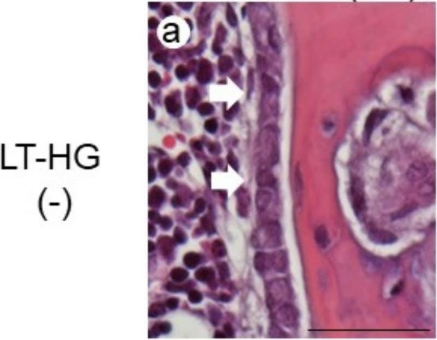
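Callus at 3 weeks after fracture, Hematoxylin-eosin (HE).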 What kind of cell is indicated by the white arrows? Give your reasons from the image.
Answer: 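The arrows point to a single row of cells lying along the surface of pink bone matrix. The cells have dark purple nuclei and sit closely side by side.
Conclusion: Osteoblasts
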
